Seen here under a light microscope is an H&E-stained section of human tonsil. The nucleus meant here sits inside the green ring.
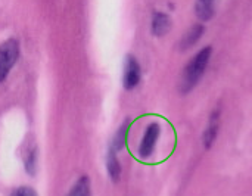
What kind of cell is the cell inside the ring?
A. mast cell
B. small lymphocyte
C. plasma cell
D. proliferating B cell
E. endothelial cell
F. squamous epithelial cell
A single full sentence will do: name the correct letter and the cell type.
Under option A, the cell inside the ring is a mast cell, which is the correct identification.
